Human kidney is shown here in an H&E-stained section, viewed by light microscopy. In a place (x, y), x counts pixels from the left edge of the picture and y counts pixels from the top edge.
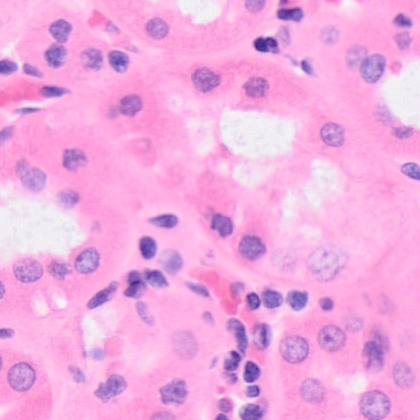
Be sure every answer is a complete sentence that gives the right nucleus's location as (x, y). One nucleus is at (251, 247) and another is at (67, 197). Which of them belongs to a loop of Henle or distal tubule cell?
Of the pair, the nucleus positioned at (67, 197) is that of a loop of Henle or distal tubule cell.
